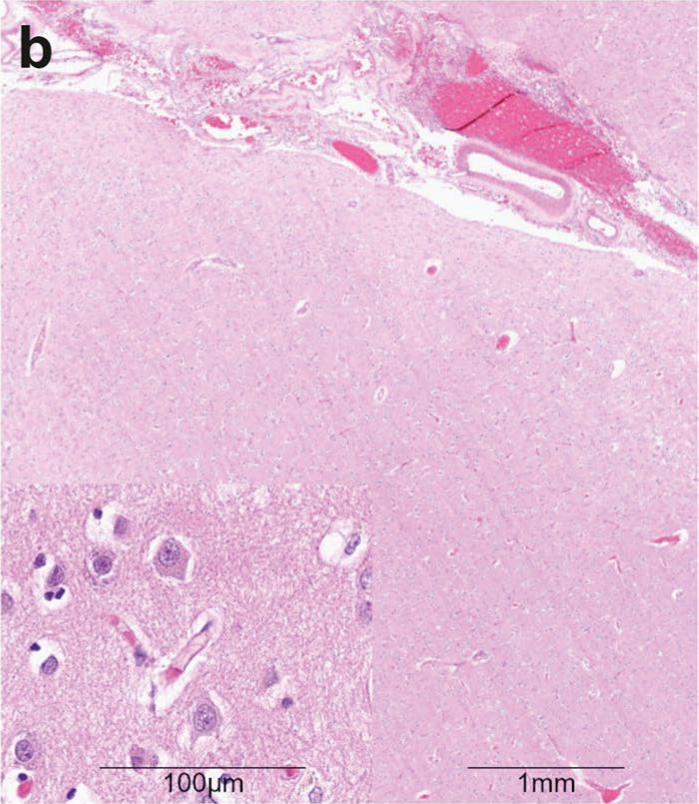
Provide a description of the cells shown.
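Normal-appearing cerebral cortex with an evenly pink, finely textured neuropil and scattered small vessels, covered at the upper right by a thinner layer of red blood within the sulcus and leptomeninges, where a larger vessel with a wavy wall is cut. At higher magnification, neuronal cell bodies with round nuclei, prominent nucleoli and pink cytoplasm lie in the fine neuropil. Small dark glial nuclei, some in clear halos, sit beside the neurons, and a capillary crosses the field.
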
